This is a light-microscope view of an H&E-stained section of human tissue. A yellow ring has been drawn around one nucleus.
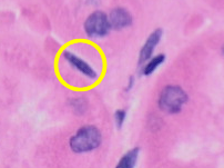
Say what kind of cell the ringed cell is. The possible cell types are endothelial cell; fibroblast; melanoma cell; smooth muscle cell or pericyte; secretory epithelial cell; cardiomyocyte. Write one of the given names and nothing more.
endothelial cell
